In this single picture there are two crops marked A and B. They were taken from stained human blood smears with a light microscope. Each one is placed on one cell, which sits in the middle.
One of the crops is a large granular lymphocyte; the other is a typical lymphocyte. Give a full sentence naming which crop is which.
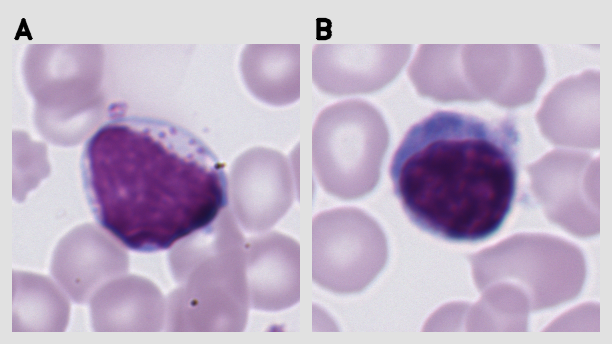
Crop A is to be labelled a large granular lymphocyte, and crop B a typical lymphocyte.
